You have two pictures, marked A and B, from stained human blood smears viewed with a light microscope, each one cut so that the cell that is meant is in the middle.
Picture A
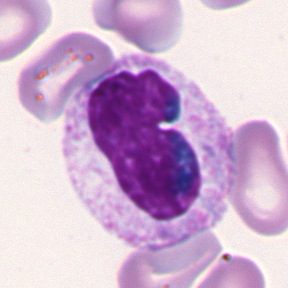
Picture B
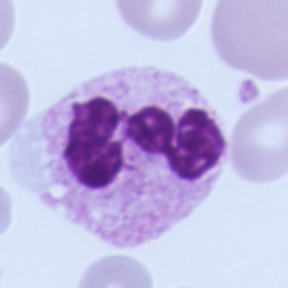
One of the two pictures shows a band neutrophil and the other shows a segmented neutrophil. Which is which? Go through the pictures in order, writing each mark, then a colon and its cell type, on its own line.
A: band neutrophil
B: segmented neutrophil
